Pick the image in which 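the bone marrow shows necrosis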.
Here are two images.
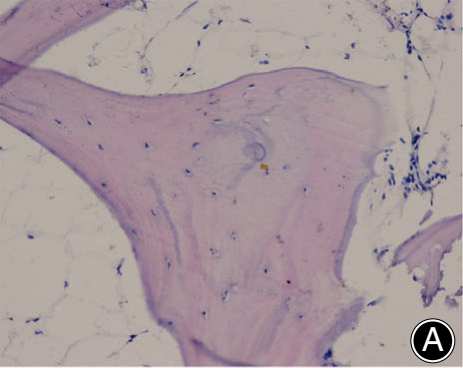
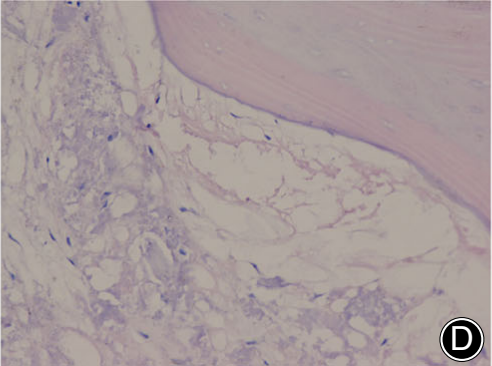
the second image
